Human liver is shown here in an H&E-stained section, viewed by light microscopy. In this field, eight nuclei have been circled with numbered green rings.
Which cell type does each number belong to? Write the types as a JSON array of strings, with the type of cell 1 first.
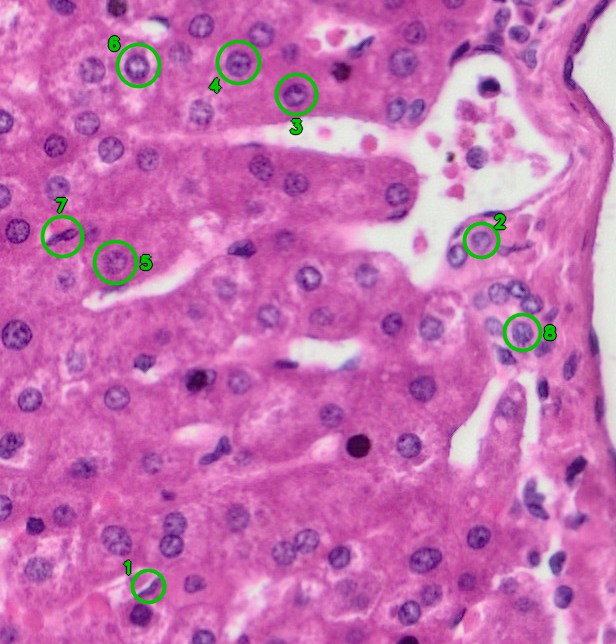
["endothelial cell", "cholangiocyte", "hepatocyte", "hepatocyte", "hepatocyte", "hepatocyte", "endothelial cell", "cholangiocyte"]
